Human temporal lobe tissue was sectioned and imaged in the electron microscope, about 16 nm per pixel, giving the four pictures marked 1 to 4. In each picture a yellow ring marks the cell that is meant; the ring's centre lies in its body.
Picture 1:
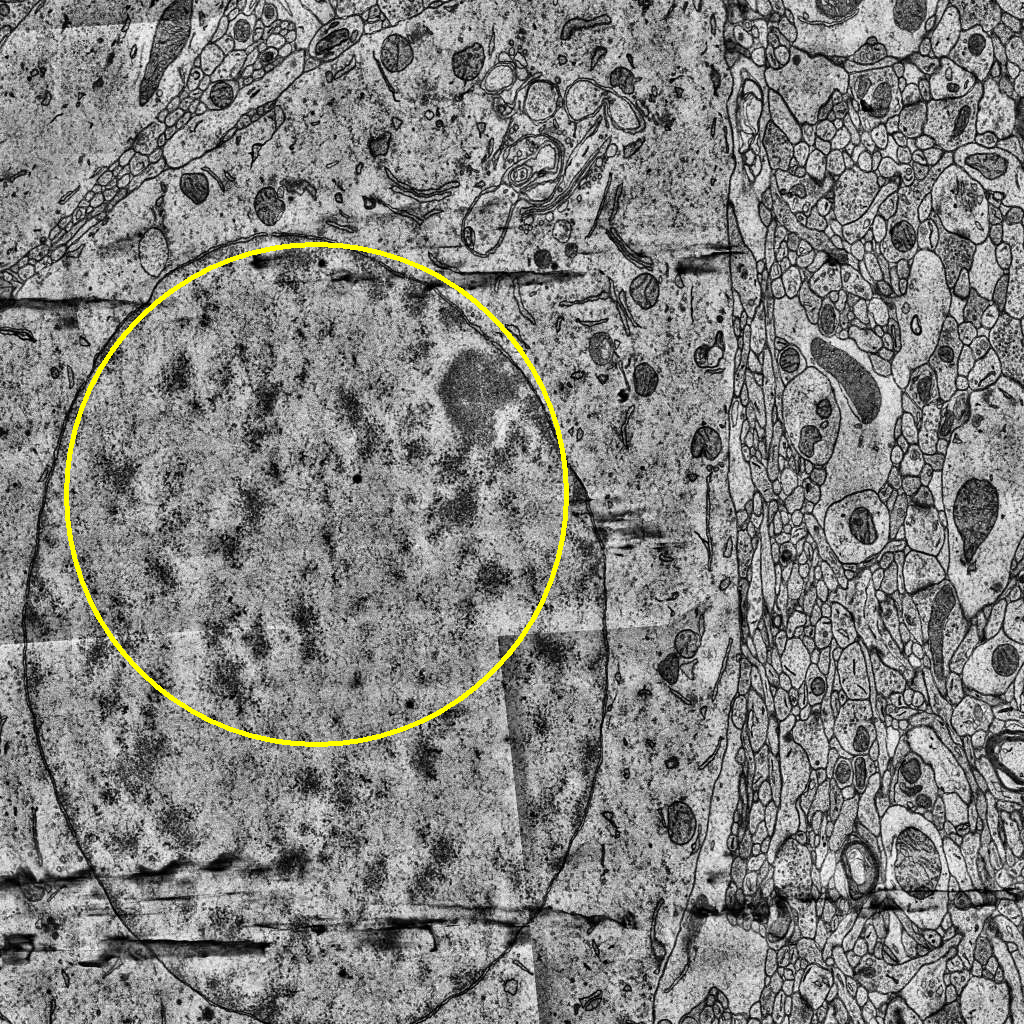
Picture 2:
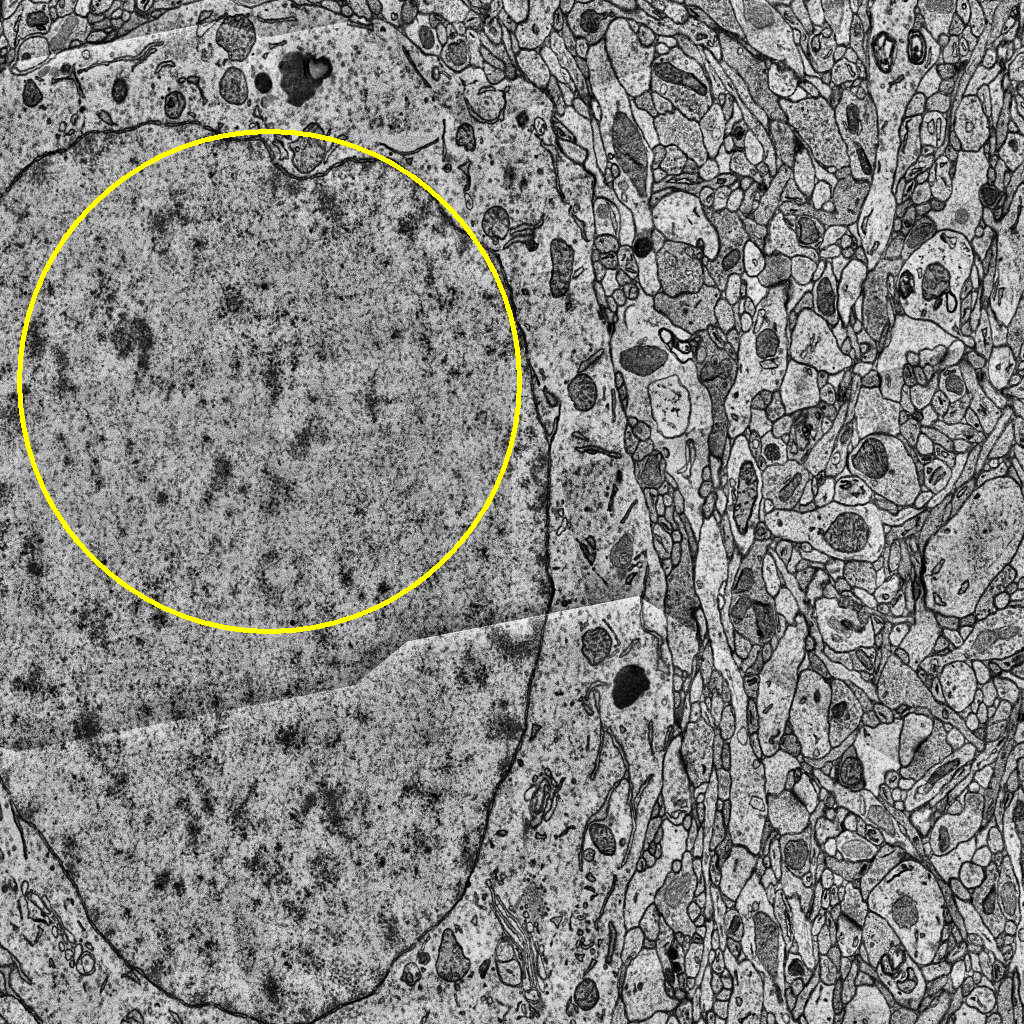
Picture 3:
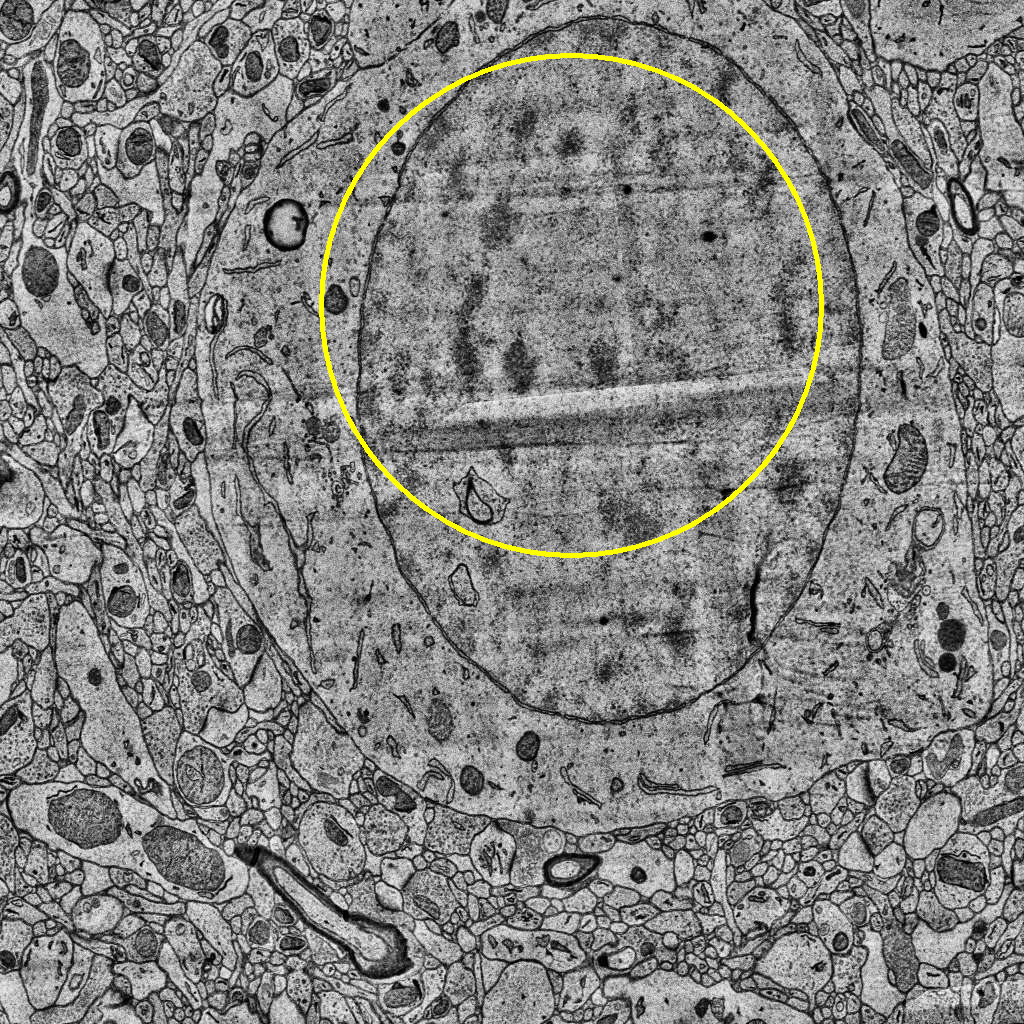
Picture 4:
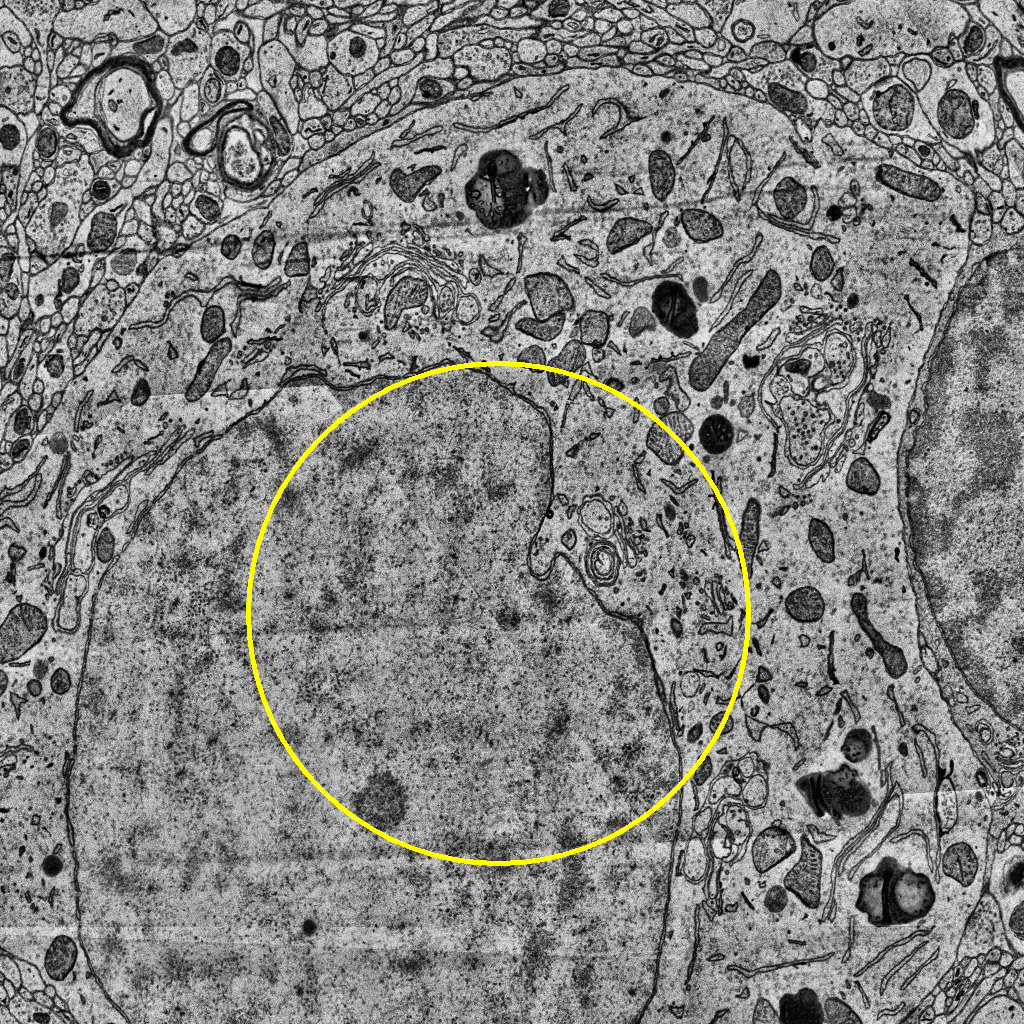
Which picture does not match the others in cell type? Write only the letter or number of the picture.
4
